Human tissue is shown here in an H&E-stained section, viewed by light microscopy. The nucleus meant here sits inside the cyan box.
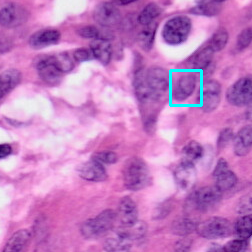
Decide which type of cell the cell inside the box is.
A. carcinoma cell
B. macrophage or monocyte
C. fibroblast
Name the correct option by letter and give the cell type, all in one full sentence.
As stated in option A, the cell inside the box is a carcinoma cell.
